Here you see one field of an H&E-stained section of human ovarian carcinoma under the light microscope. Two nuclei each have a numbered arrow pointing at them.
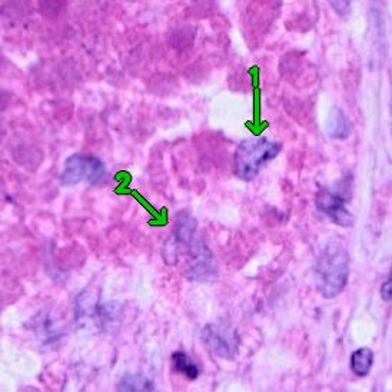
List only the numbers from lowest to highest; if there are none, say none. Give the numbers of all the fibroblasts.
2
